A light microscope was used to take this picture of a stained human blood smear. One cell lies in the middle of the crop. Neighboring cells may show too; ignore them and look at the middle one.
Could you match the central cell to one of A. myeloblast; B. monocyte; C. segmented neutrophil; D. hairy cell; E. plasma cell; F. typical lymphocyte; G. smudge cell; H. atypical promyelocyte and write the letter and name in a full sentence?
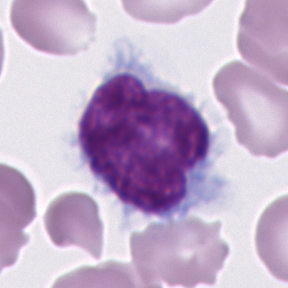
The cell right in the middle is a hairy cell, so option D is the one.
